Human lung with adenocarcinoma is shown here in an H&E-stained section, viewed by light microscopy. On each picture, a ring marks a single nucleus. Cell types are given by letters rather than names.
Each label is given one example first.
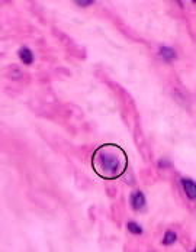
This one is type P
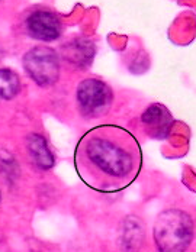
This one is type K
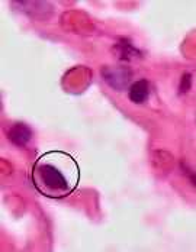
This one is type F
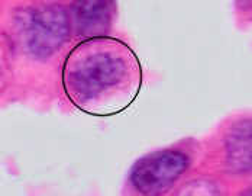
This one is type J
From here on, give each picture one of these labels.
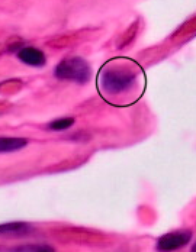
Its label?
type F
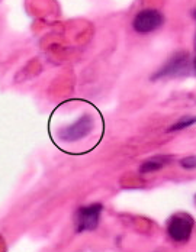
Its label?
type F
